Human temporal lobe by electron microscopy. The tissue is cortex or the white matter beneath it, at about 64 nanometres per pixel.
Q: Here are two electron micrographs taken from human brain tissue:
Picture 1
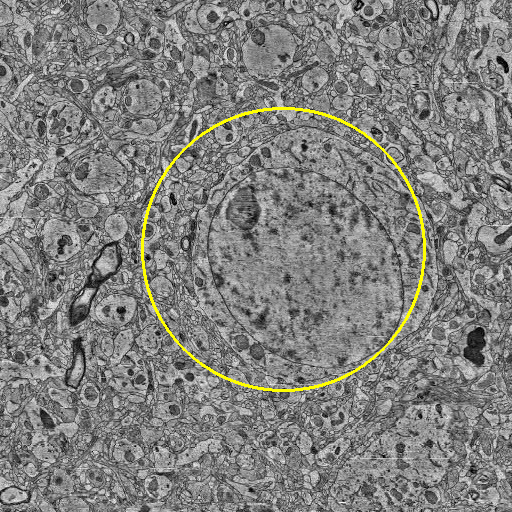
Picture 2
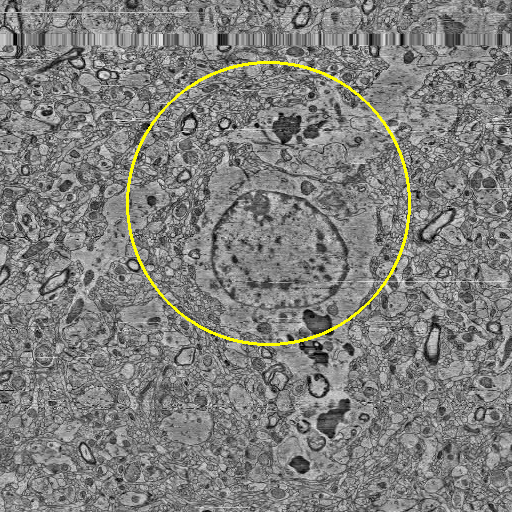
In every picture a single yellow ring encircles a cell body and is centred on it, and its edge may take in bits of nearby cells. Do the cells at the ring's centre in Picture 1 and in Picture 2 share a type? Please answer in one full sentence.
No, the cells at the ring's centre in Picture 1 and Picture 2 are of two types.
